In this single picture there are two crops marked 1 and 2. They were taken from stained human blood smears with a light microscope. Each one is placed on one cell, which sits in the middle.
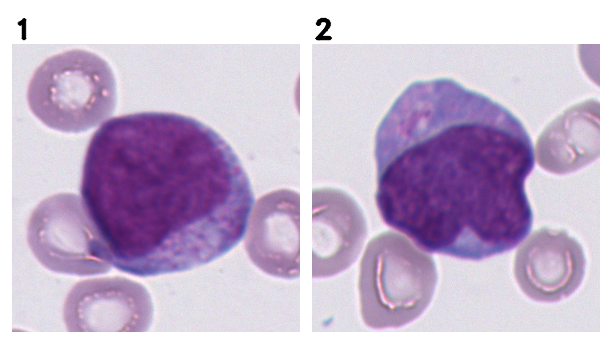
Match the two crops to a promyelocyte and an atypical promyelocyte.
1: promyelocyte
2: atypical promyelocyte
